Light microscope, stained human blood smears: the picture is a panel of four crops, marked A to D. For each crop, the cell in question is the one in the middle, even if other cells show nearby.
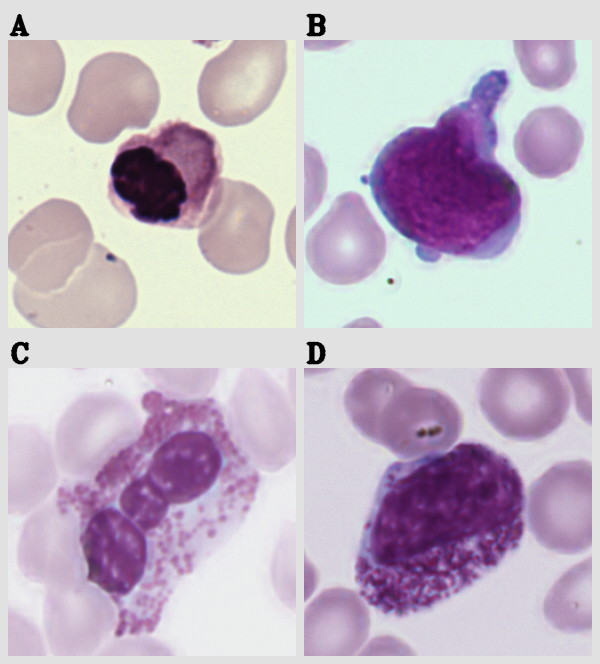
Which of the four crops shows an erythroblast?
A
